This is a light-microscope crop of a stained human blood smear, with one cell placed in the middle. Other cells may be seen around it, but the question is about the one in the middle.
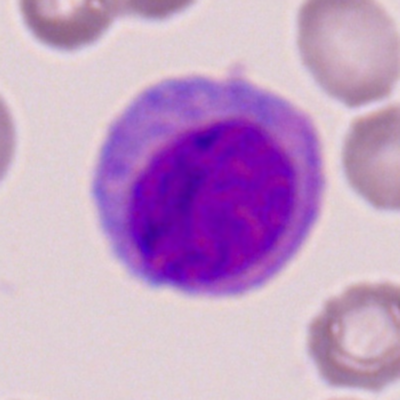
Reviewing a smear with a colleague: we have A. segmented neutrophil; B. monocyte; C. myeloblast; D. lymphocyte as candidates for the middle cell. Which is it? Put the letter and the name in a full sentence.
In this crop the middle cell is a monocyte, so option B is the correct answer.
